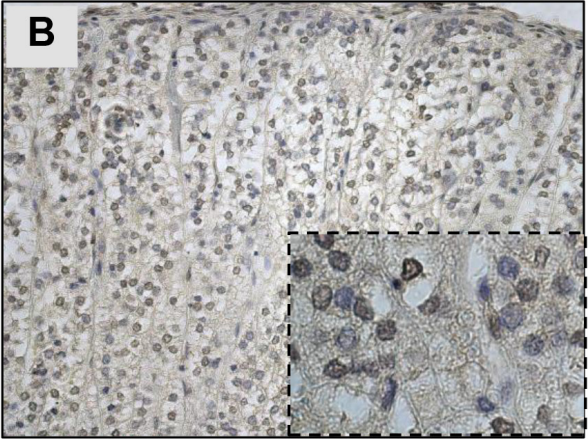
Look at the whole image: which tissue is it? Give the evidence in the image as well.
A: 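Thin capsule runs along the top edge. Cells lie in straight cords running radially away from the capsule. Cells have pale, clear, vacuolated cytoplasm with small round central nuclei.
Hence: adrenal cortex.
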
